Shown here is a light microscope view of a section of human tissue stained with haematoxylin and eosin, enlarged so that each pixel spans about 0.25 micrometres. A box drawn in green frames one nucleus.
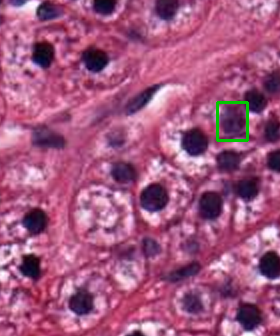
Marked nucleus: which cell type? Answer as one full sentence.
The marked nucleus forms part of an adrenal cortical cell.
